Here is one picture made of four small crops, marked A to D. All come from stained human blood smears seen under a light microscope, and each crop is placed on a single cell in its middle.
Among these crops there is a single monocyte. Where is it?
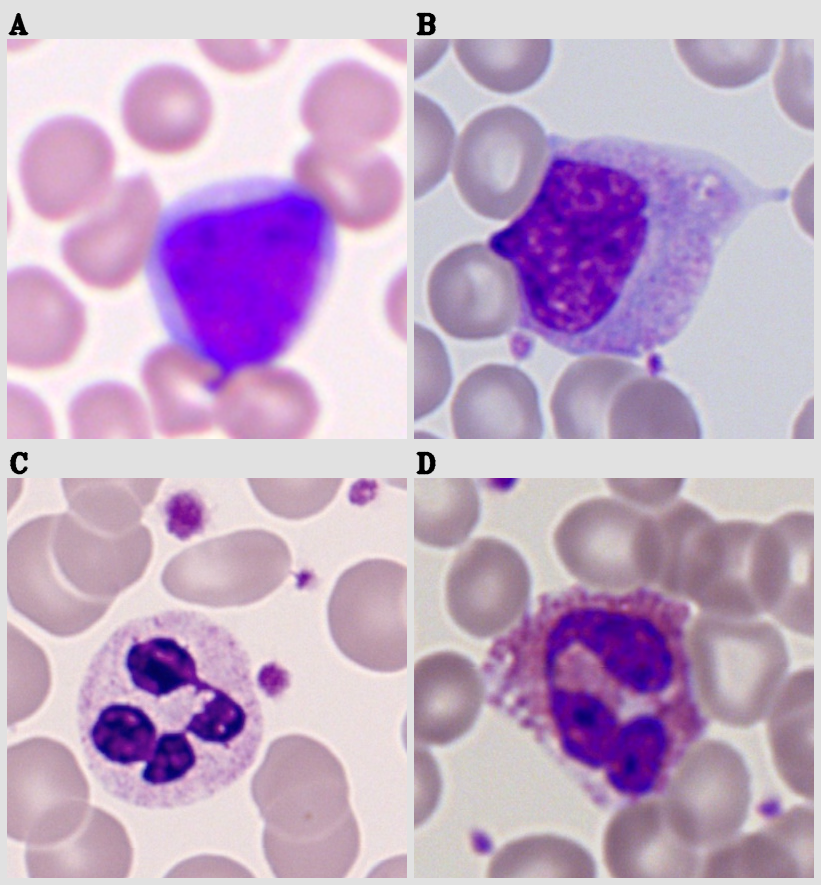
B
